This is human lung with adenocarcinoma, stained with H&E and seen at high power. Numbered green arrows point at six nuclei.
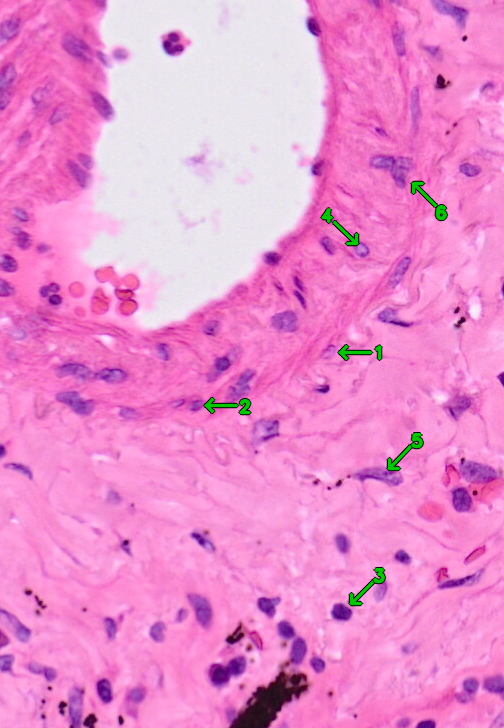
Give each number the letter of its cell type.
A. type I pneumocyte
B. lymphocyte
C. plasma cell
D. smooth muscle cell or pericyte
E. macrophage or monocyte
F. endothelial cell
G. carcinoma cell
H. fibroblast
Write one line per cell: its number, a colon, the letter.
1: D
2: D
3: B
4: D
5: H
6: D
